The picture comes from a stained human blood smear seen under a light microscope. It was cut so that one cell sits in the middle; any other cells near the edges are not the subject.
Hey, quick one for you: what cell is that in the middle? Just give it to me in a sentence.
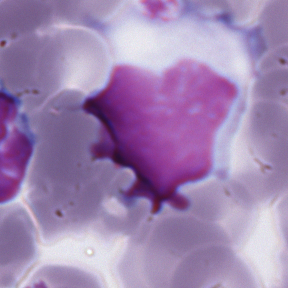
This crop is built around a typical lymphocyte at its centre.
